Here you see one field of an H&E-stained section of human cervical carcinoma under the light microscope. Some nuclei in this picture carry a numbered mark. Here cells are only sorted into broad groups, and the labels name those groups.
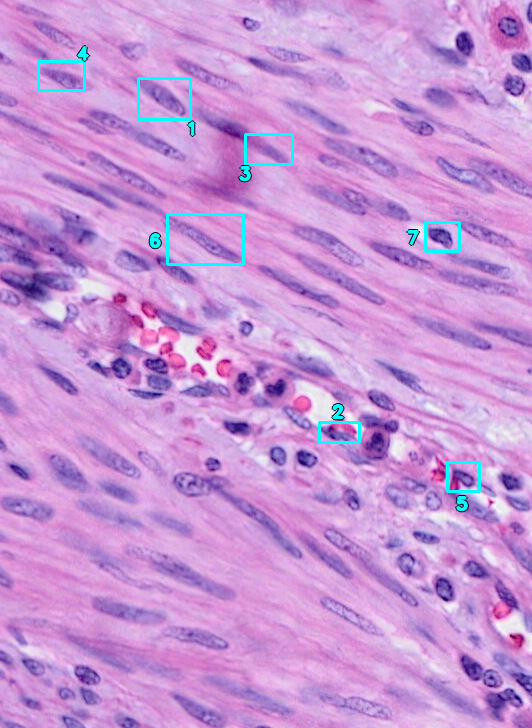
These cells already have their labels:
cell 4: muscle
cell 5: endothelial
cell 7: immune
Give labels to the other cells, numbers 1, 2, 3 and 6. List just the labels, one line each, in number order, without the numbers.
muscle
endothelial
muscle
muscle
